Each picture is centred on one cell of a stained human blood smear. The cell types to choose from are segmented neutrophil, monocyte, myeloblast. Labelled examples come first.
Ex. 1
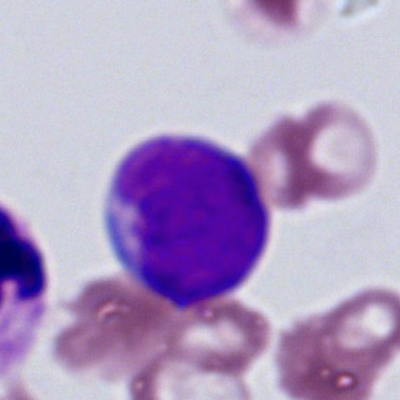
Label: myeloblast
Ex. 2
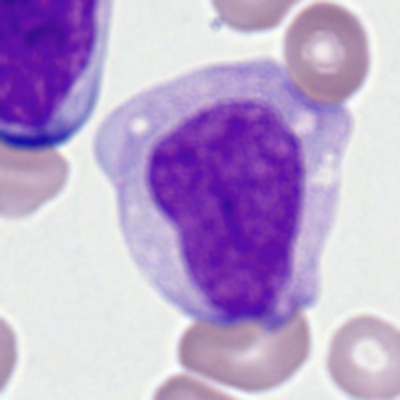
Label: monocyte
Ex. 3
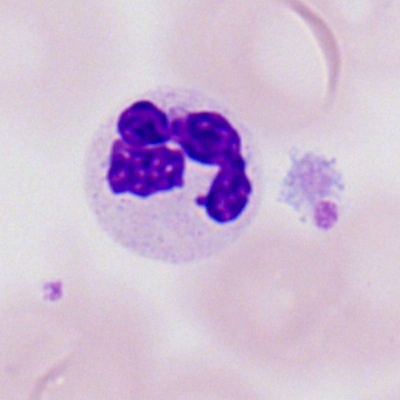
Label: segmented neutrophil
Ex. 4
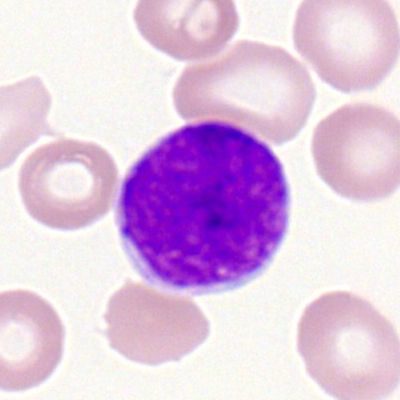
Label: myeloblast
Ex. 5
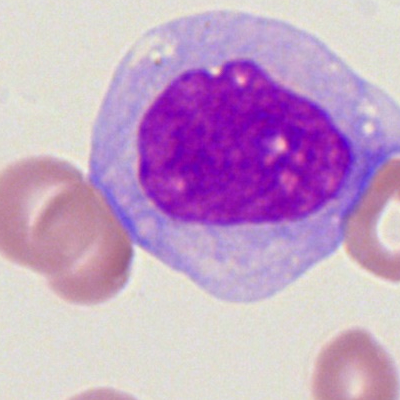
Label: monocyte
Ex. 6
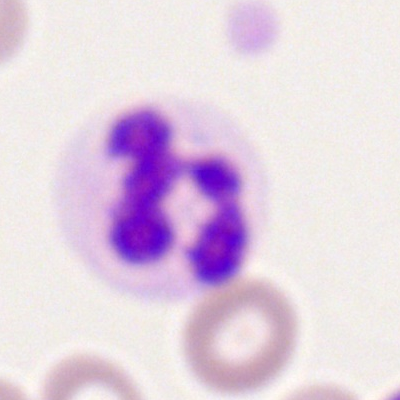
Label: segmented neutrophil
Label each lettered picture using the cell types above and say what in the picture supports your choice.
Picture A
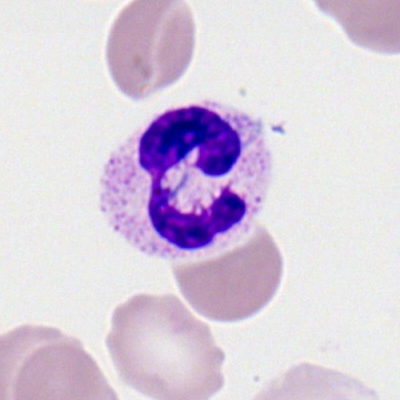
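segmented neutrophil. Evidence: The nucleus is a single unbroken curved band shaped like the letter C.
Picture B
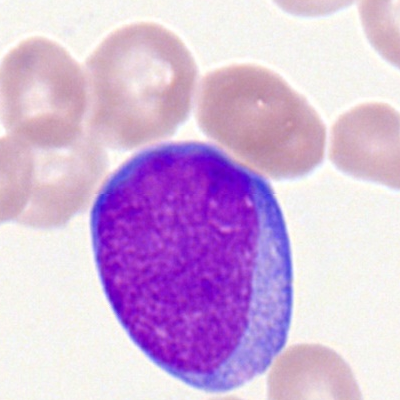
myeloblast. Evidence: The nucleus fills most of the cell.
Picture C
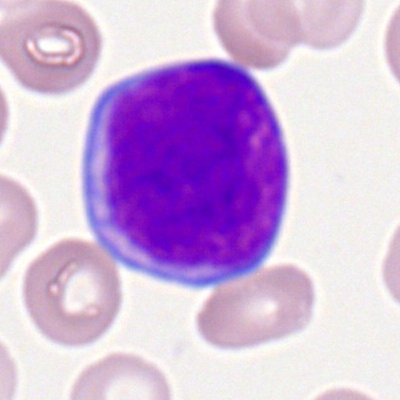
myeloblast. Evidence: The nucleus is a single unlobed mass that fills almost the whole cell.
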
